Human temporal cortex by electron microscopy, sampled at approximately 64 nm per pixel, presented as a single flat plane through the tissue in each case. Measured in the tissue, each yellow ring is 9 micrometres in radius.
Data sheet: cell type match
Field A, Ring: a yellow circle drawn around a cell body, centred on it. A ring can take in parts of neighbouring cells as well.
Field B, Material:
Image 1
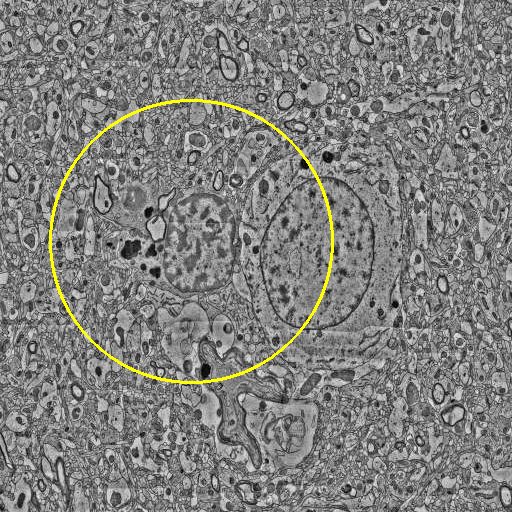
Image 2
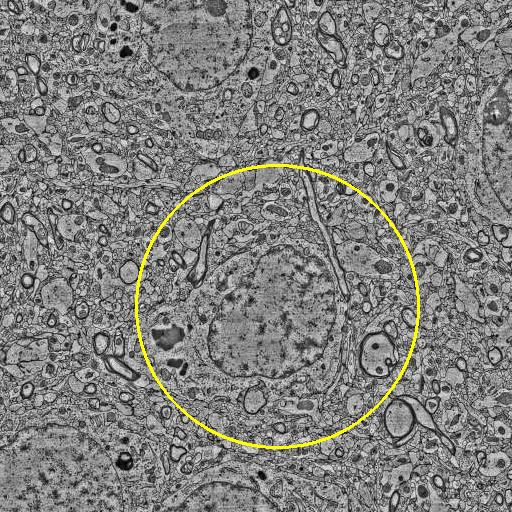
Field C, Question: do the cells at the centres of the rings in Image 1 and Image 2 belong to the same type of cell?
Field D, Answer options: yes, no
no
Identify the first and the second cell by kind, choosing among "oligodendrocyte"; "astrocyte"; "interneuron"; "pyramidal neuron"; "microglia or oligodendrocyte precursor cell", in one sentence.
The one in the first picture is an oligodendrocyte, while the one in the second is an interneuron.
